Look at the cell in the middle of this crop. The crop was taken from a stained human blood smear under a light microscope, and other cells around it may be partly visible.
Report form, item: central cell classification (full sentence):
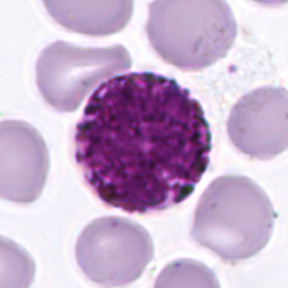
At the middle of the frame sits a basophil.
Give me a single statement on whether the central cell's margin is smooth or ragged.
Around its whole circumference the outline stays smooth, free of projections.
